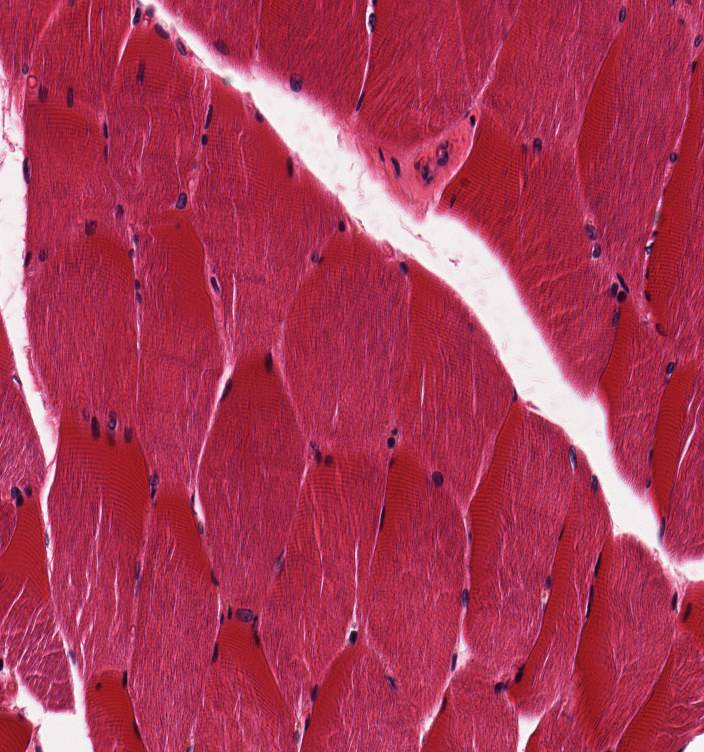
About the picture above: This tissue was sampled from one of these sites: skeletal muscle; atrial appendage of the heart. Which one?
skeletal muscle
